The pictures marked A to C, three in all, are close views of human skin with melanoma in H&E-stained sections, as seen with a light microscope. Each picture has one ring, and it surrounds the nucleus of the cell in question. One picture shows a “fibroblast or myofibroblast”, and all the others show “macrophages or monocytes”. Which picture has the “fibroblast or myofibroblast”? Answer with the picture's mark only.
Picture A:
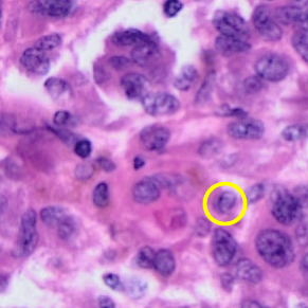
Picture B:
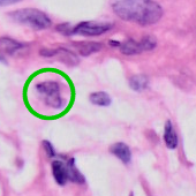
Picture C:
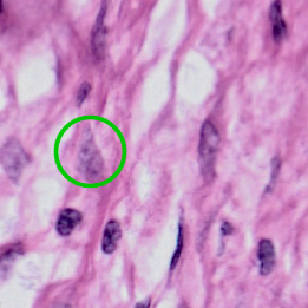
C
